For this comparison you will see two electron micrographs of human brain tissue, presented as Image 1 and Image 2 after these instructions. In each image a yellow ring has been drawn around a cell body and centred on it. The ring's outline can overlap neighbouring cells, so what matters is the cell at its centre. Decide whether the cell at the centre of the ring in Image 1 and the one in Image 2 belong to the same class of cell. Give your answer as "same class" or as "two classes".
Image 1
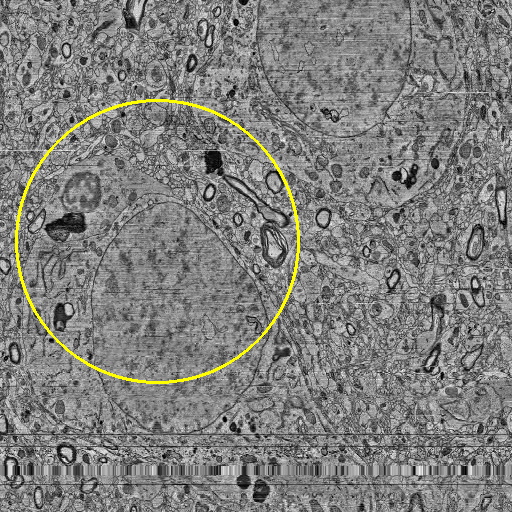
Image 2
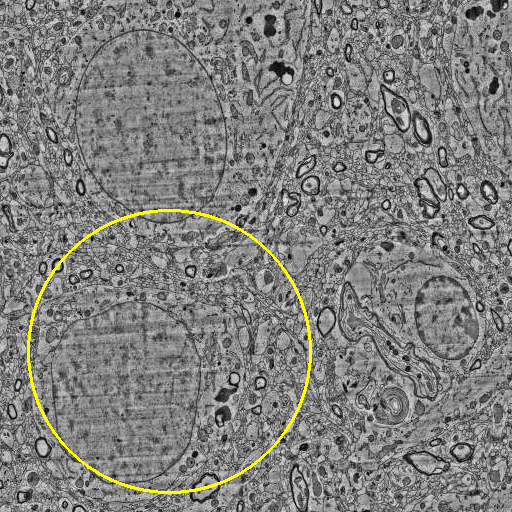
same class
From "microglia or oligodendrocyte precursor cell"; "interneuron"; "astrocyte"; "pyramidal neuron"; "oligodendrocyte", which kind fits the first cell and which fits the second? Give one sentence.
Each of the ringed cells, first and second, is a pyramidal neuron.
